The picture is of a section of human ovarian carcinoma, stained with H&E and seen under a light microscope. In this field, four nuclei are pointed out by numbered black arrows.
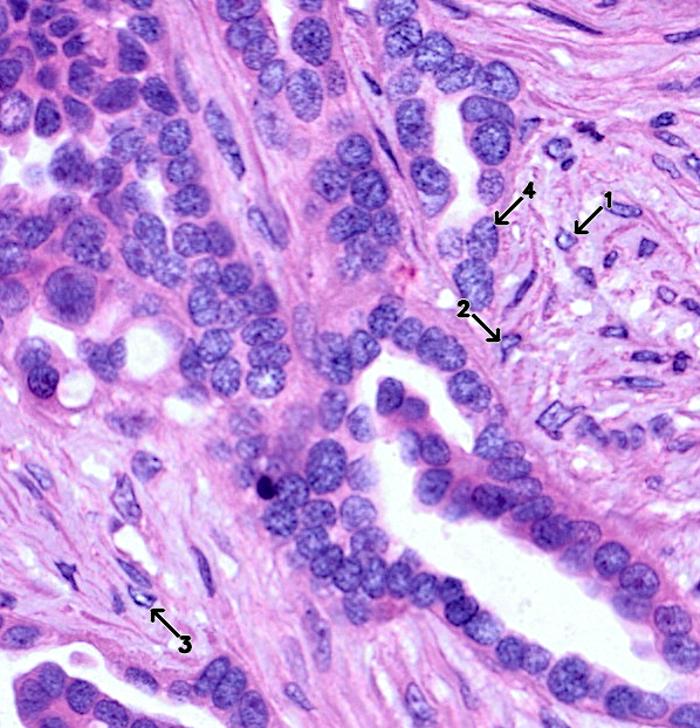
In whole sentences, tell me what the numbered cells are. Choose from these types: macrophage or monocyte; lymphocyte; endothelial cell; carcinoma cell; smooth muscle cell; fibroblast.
Cells 1, 2 and 3 are fibroblasts. Cell 4 is a carcinoma cell.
